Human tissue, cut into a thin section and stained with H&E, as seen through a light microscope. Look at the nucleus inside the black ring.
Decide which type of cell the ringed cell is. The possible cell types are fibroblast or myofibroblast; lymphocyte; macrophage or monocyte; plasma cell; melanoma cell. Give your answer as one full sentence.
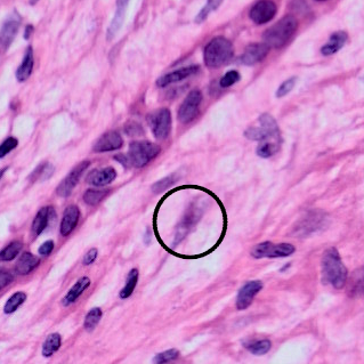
Typologically, the ringed cell is a fibroblast or myofibroblast in this section.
